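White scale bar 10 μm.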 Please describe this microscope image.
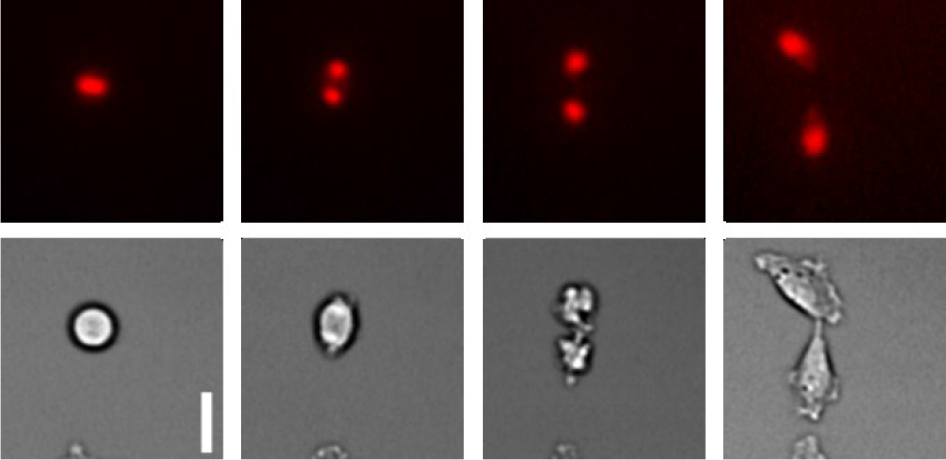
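Time series of a single cultured cell going through a normal division. First frame: one small round, refractile cell with a dark rim and one compact red spot. Second frame: the cell is slightly elongated and the red signal has split into two adjacent spots. Third frame: two daughter cells lie end to end with irregular, blebbed outlines, their red spots moved apart. Last frame: two flattened, spread cells with spindle-like outlines and granular cytoplasm lie adhered to the surface, each with its own red spot.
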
